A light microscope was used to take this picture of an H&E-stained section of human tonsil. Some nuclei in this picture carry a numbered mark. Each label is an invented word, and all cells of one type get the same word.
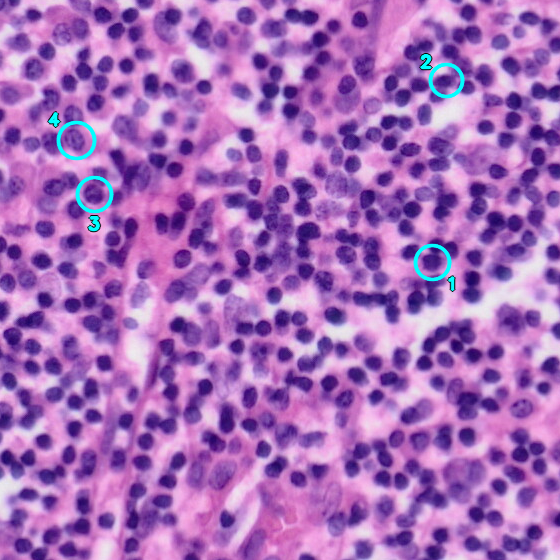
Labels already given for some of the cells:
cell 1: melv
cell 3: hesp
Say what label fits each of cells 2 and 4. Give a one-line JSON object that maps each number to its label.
{"2": "melv", "4": "hesp"}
